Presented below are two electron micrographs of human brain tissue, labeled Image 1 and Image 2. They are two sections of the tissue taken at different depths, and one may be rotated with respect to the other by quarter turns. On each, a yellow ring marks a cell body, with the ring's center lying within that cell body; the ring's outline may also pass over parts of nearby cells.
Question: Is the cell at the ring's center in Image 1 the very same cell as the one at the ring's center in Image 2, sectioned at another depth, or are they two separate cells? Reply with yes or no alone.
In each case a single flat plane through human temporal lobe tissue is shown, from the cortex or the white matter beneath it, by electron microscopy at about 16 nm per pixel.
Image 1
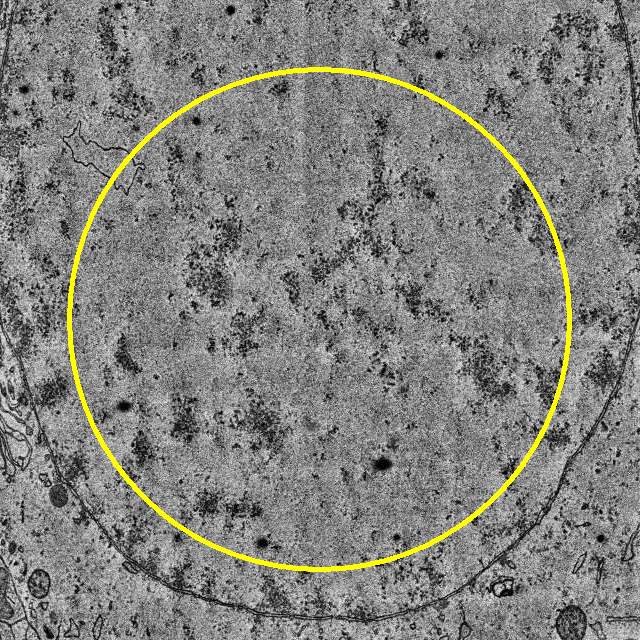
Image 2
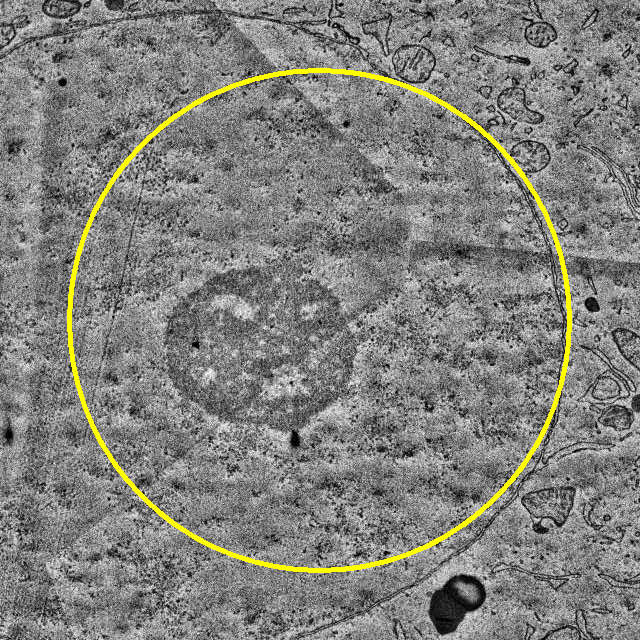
yes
